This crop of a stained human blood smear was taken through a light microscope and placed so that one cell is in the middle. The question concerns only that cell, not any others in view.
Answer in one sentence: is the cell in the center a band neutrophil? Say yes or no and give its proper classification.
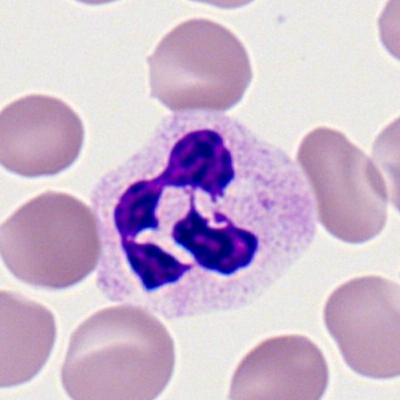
No, the correct answer for the middle cell is a segmented neutrophil, not a band neutrophil.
